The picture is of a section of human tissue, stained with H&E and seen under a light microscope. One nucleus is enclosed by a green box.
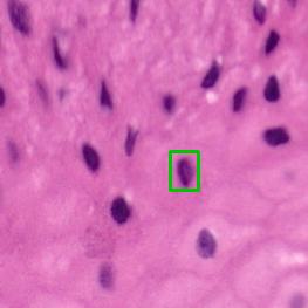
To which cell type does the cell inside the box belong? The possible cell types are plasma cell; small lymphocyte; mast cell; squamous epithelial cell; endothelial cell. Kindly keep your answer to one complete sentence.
It is a squamous epithelial cell that the cell inside the box represents.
